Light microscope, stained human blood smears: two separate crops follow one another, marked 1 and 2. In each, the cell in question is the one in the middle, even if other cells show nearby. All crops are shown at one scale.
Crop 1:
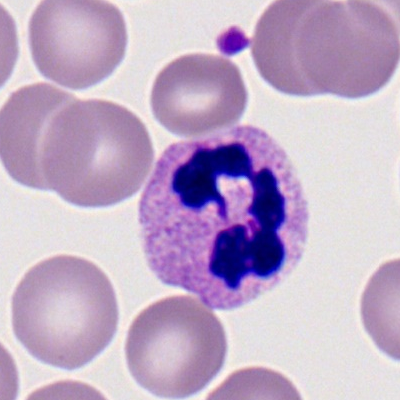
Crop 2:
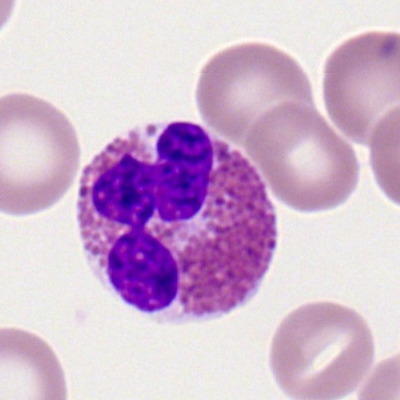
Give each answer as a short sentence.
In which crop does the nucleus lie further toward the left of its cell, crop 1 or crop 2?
The nucleus in crop 2 lies further toward the left of its cell.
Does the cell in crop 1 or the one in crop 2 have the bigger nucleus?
It is the nucleus in crop 2, about 1.5 times as large in area as the one in crop 1.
